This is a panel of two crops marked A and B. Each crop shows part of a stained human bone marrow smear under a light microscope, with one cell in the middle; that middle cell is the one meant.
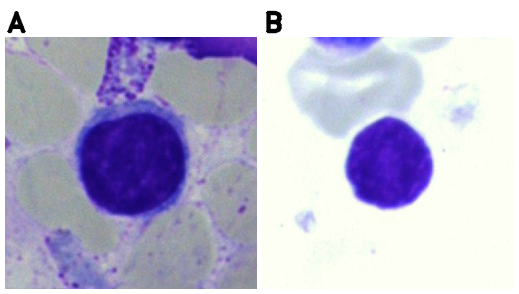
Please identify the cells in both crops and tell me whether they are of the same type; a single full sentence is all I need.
Yes, the cells of interest in both crops are lymphocytes.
